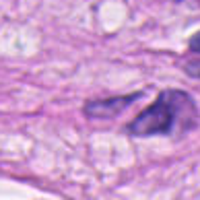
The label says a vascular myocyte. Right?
Right.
